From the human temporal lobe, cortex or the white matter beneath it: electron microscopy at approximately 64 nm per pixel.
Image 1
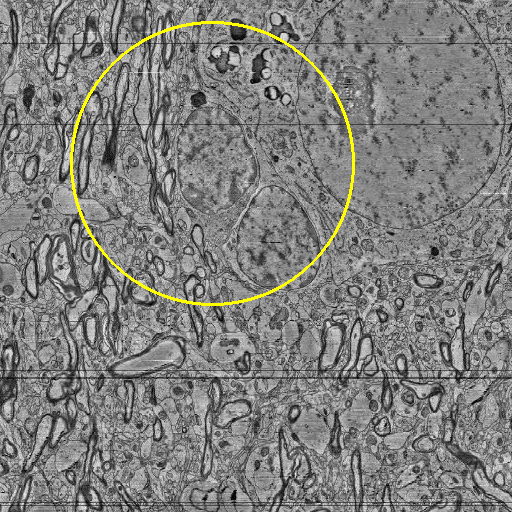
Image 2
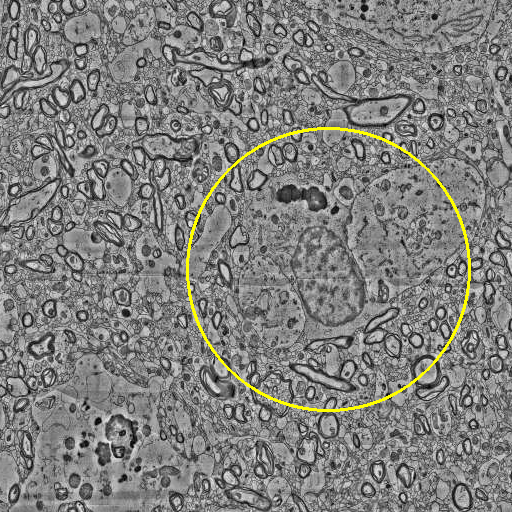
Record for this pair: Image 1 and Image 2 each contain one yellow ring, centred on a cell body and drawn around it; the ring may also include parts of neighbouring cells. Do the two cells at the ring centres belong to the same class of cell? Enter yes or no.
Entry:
yes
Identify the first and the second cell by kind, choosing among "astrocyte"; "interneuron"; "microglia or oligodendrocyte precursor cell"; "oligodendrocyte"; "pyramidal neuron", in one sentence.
Each cell, in the first picture and the second, is an oligodendrocyte.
